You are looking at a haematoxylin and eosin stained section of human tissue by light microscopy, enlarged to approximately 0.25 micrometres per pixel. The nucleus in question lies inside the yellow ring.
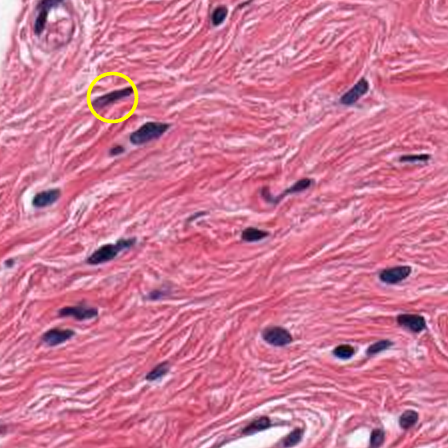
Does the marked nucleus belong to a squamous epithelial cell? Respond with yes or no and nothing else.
no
